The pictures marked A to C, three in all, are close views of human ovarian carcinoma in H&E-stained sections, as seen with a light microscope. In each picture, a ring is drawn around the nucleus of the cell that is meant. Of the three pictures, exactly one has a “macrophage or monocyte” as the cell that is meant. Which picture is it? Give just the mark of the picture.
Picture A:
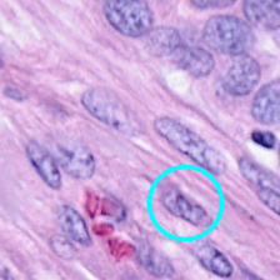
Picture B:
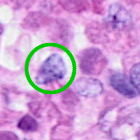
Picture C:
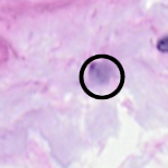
B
